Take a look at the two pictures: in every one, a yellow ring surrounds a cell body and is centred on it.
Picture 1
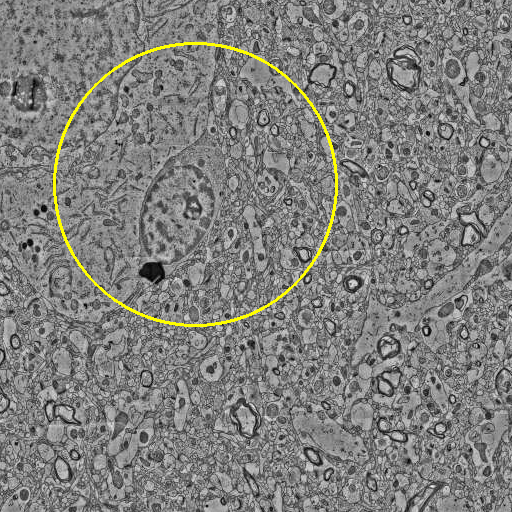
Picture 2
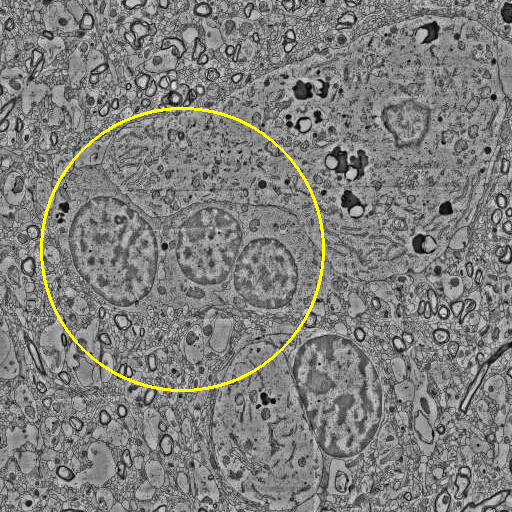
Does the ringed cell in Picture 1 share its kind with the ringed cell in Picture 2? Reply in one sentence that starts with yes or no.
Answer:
Yes, the two centred cells, one per picture, are of one kind.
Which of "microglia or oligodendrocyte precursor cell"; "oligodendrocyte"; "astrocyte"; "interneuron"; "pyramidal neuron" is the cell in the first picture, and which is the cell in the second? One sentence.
In both pictures the ring is centred on an oligodendrocyte.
